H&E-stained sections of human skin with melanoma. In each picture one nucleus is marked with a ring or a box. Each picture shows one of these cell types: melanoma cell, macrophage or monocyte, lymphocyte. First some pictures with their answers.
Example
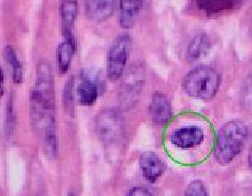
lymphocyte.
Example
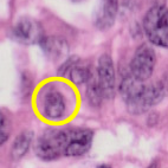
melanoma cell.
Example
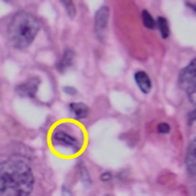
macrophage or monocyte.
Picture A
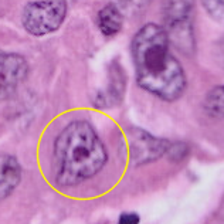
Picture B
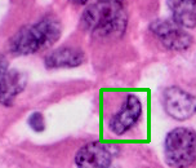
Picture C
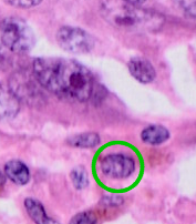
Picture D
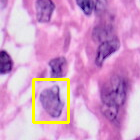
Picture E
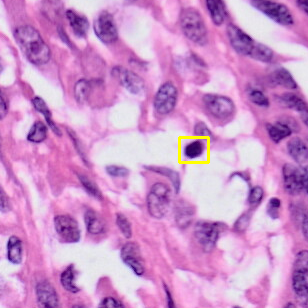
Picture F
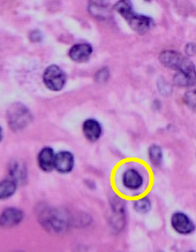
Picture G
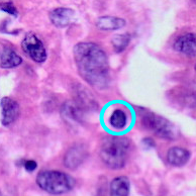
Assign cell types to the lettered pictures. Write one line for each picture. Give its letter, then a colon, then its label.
A: melanoma cell.
B: melanoma cell.
C: macrophage or monocyte.
D: macrophage or monocyte.
E: lymphocyte.
F: lymphocyte.
G: lymphocyte.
